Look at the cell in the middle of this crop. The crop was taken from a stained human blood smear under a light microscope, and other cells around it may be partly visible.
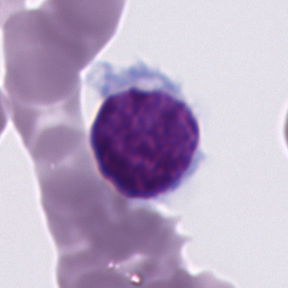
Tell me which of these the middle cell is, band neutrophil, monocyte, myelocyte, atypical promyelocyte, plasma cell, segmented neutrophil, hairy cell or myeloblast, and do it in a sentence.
In short, the cell at the center is a hairy cell.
